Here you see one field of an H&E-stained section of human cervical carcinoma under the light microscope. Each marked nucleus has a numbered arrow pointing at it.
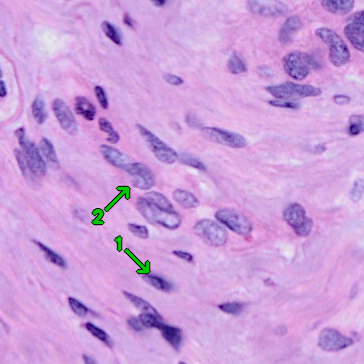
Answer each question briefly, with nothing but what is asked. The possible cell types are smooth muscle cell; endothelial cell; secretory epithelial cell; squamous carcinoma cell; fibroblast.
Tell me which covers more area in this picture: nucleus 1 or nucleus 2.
2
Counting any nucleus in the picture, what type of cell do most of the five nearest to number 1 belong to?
fibroblast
